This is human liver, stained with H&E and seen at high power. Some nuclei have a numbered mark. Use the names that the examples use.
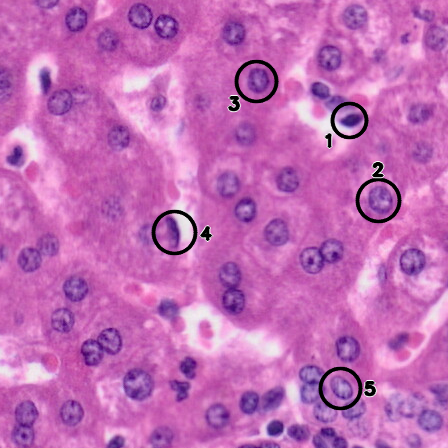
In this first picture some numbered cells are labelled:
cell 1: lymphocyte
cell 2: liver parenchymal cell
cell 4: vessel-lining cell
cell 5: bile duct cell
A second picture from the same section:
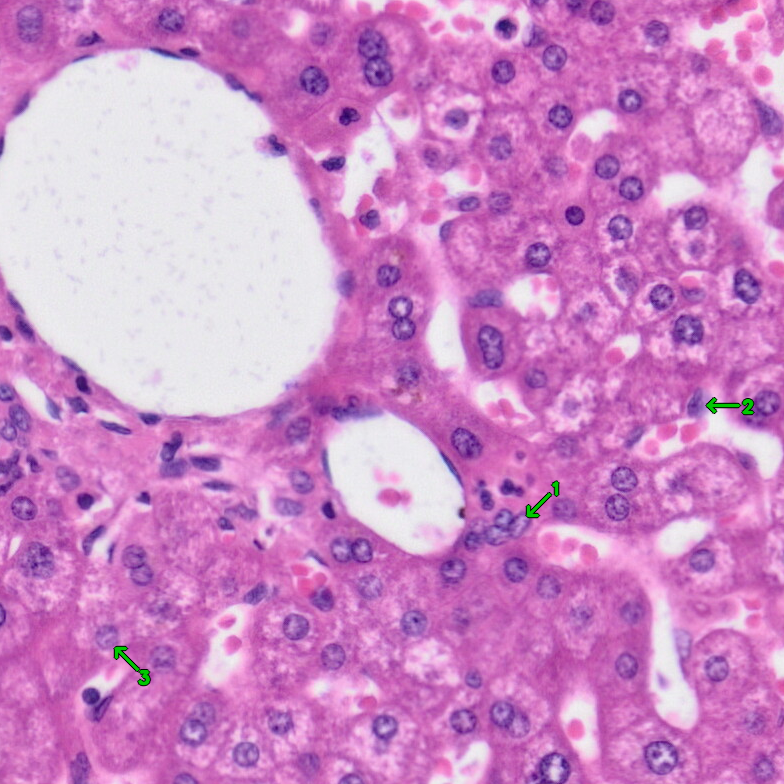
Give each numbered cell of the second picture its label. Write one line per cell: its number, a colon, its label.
1: bile duct cell
2: vessel-lining cell
3: liver parenchymal cell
